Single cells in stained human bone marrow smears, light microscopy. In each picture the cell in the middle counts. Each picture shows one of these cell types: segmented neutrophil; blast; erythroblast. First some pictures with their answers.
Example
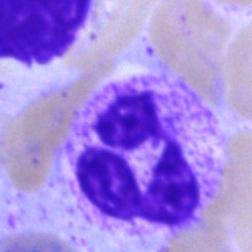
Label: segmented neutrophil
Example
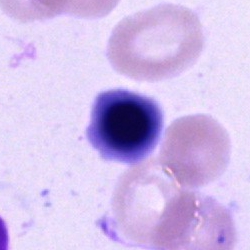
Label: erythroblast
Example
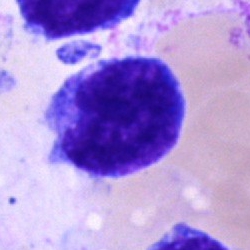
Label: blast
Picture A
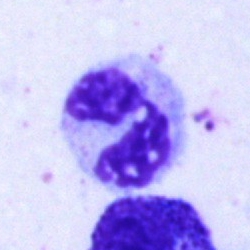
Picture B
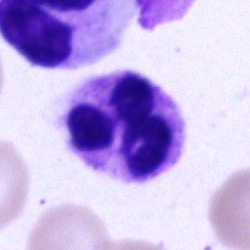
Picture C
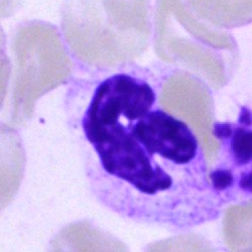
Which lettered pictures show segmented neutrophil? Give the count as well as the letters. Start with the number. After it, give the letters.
Count: 3 (A, B, C)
